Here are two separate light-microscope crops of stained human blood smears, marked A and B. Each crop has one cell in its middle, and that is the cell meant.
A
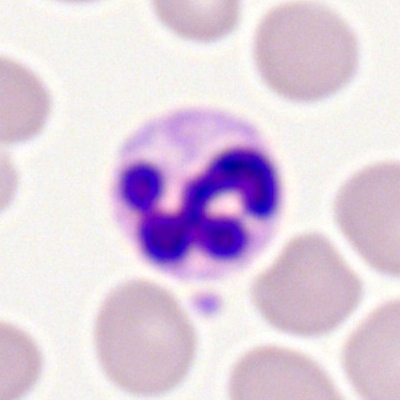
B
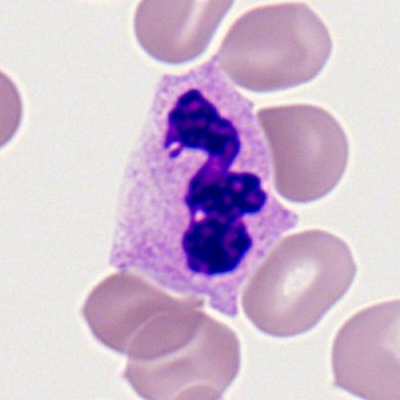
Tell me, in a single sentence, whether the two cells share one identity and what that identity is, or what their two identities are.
Yes, the cells placed at the centre of both crops are segmented neutrophils.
